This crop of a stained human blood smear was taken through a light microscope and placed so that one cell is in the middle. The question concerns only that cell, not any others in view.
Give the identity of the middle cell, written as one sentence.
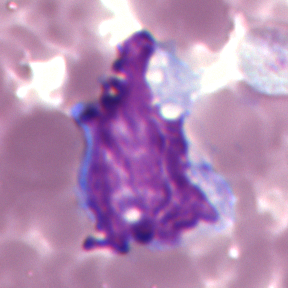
This particular crop is centered on a monocyte.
